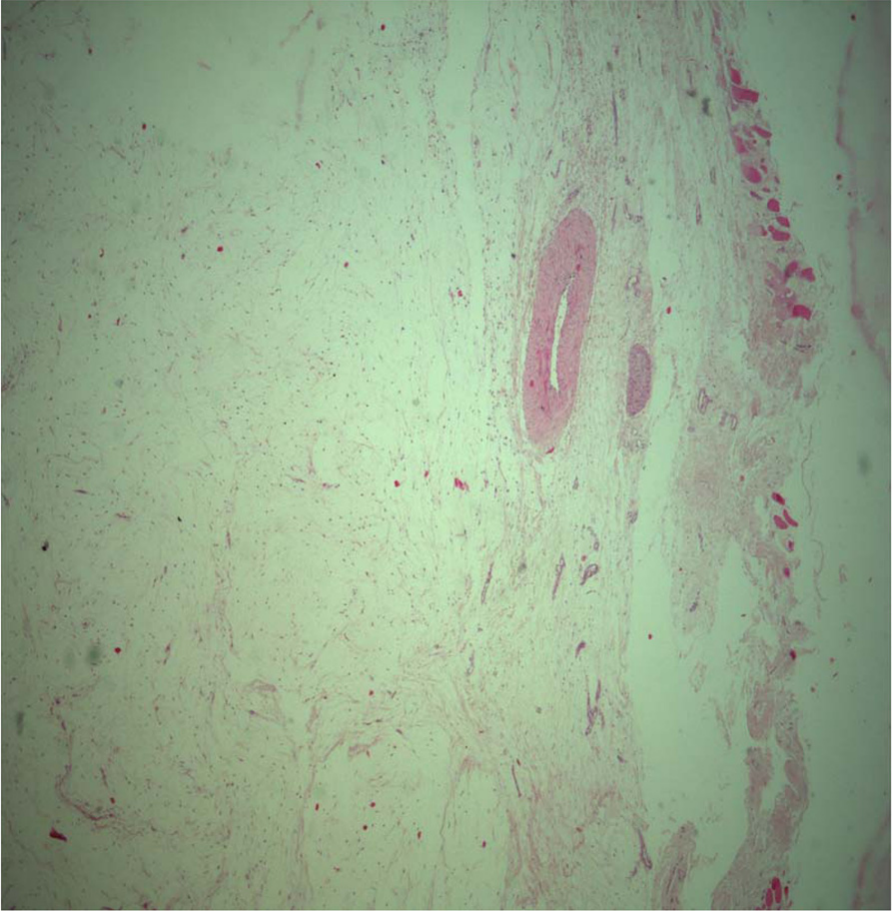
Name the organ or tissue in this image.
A: Myxoid stroma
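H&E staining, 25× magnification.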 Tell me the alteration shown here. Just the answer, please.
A: Paucicellular tumor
